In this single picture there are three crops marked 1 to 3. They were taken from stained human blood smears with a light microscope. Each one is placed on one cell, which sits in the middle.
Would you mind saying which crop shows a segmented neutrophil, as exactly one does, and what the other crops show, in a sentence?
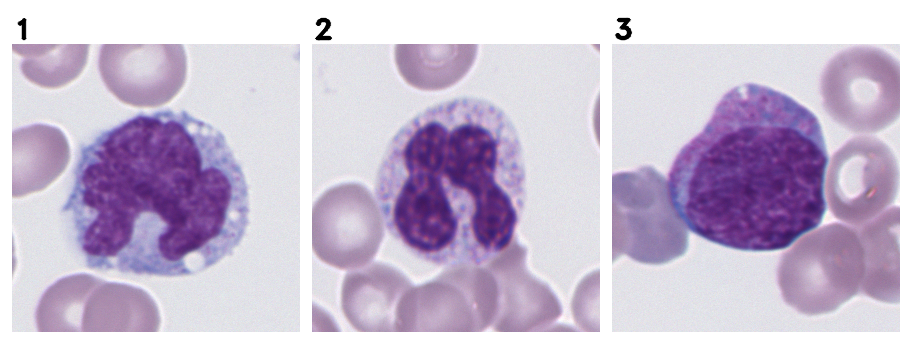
Going crop by crop, crop 2 is a segmented neutrophil, while crop 1 is a monocyte and crop 3 is an atypical promyelocyte.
